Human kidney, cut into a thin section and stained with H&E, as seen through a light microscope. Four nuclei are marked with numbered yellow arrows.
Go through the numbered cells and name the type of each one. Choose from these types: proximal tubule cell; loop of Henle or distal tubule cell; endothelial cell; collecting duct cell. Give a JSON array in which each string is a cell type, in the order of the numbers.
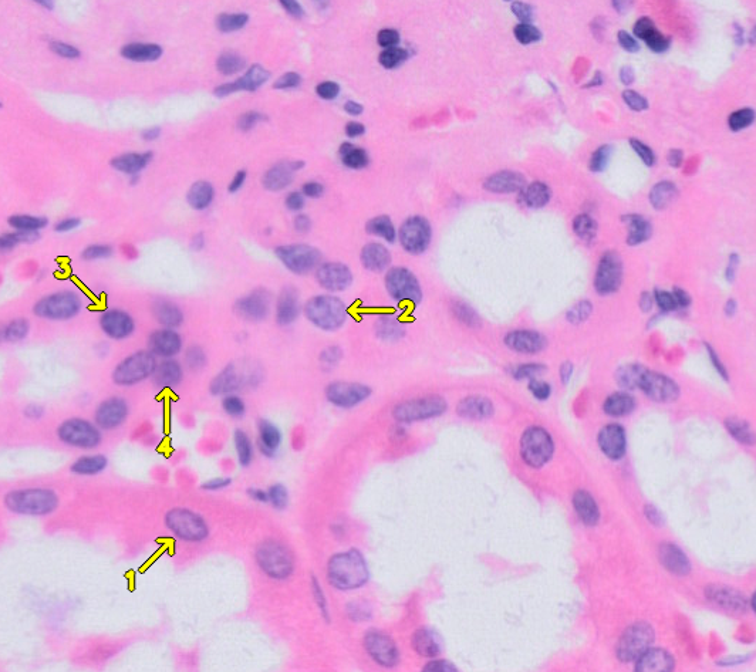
["proximal tubule cell", "collecting duct cell", "collecting duct cell", "collecting duct cell"]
